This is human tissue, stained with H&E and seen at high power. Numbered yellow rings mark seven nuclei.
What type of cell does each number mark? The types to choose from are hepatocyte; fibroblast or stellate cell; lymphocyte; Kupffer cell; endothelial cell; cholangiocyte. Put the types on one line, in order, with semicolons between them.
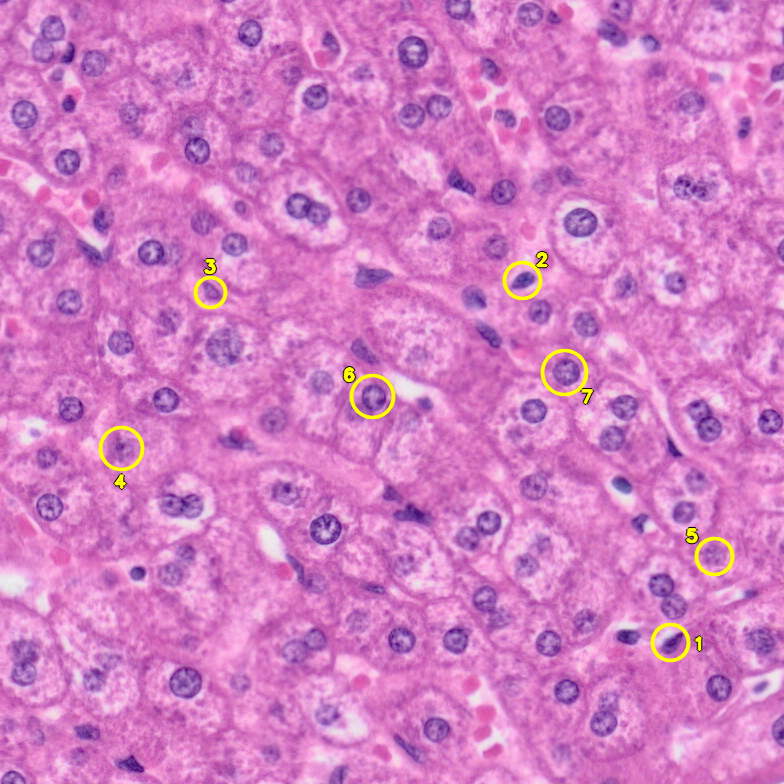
endothelial cell; lymphocyte; Kupffer cell; hepatocyte; hepatocyte; hepatocyte; hepatocyte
